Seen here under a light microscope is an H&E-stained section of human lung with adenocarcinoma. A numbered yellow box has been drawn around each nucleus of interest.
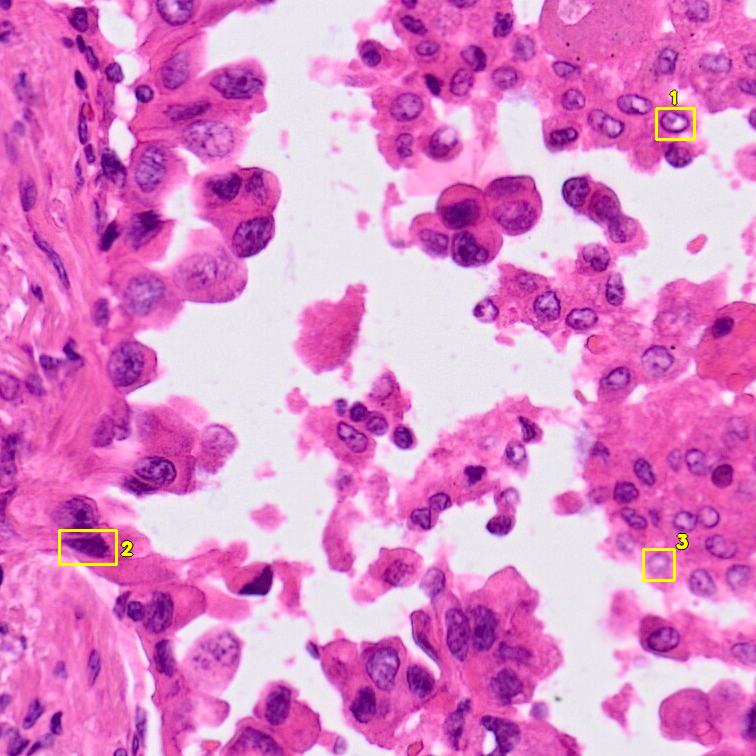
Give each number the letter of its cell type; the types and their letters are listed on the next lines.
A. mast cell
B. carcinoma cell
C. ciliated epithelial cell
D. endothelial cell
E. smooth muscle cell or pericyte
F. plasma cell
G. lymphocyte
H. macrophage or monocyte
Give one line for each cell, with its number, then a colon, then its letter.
1: H
2: B
3: H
